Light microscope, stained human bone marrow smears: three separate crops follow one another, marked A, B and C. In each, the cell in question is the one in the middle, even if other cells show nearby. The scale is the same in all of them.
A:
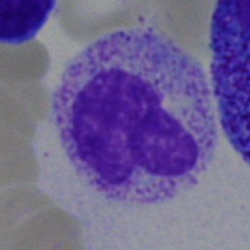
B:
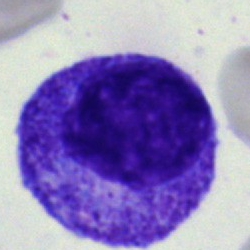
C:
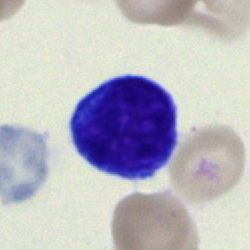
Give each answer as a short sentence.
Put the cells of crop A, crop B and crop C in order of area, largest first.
From the largest down, the order is B, A, C.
